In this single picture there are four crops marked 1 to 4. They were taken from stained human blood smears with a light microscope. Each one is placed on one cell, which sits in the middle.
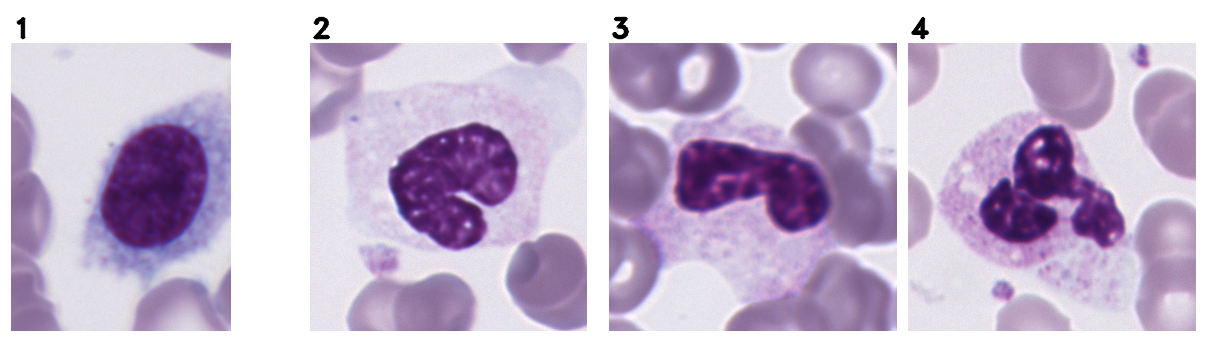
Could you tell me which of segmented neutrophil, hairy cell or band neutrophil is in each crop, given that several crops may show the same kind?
1: hairy cell
2: band neutrophil
3: band neutrophil
4: segmented neutrophil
